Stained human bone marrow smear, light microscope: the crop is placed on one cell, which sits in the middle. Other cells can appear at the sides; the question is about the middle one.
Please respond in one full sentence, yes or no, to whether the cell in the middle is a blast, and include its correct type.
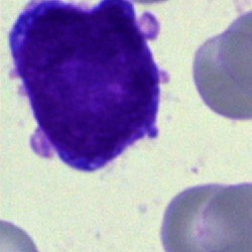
Yes, the centrally placed cell is a blast.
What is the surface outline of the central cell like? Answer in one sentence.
Rather than running smoothly, the cell border is ragged or carries projections.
